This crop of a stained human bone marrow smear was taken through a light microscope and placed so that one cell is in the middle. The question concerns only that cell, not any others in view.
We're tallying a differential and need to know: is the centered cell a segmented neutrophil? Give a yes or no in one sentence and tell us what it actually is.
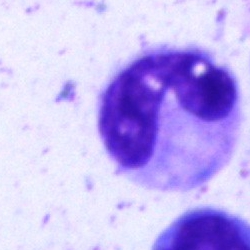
No, the cell in the centre is a band neutrophil instead of a segmented neutrophil.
